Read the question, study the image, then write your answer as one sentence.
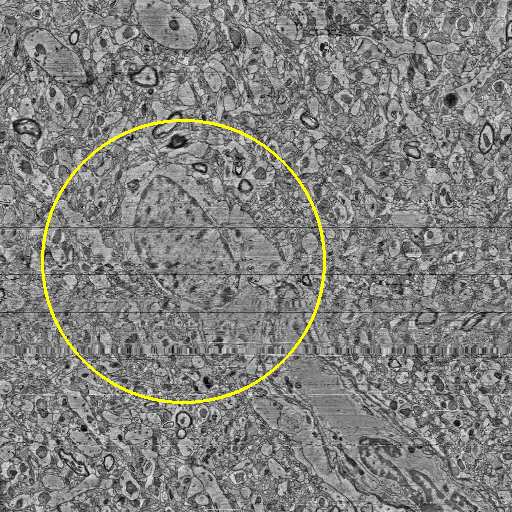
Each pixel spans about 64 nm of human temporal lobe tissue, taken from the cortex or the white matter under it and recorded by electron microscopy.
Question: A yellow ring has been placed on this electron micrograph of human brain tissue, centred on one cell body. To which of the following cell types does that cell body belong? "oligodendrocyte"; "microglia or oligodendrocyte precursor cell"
That cell body belongs to a microglial cell or oligodendrocyte precursor cell.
